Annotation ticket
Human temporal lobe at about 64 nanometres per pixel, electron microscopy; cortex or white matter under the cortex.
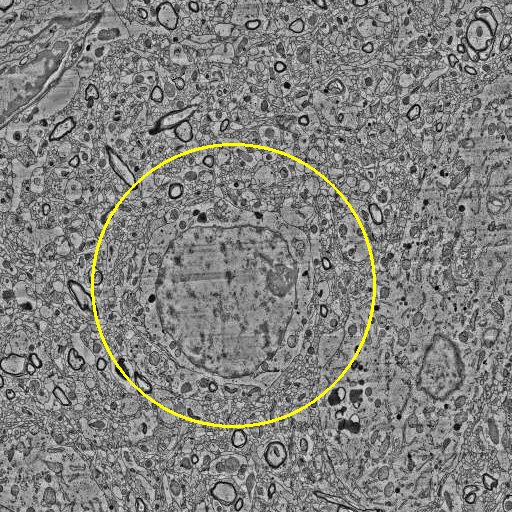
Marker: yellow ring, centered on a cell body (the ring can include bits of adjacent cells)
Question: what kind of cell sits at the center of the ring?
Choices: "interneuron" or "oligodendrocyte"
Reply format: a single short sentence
The ring is centered on an interneuron.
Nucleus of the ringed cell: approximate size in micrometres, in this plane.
About 10 micrometres across in this plane.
